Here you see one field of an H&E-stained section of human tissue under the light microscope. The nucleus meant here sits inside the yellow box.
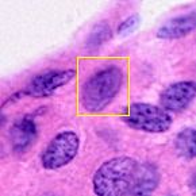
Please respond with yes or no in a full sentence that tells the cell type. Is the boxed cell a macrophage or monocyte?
No, the boxed cell is a squamous carcinoma cell rather than a macrophage or monocyte in this section.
